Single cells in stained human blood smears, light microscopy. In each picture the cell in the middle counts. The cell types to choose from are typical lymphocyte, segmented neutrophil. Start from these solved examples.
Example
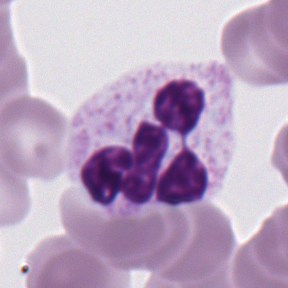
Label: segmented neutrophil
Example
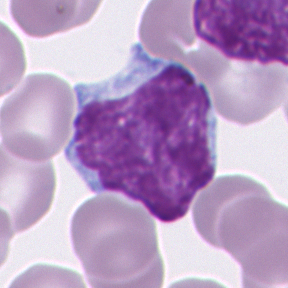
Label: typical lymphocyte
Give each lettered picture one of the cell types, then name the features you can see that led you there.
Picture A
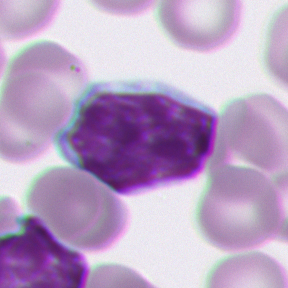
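typical lymphocyte. Reason: The nucleus fills almost the whole cell.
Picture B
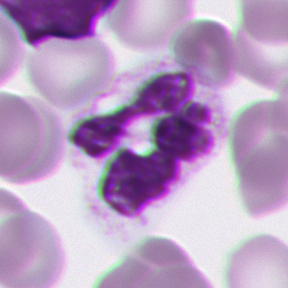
segmented neutrophil. Reason: The chromatin is dense and dark purple throughout the lobes.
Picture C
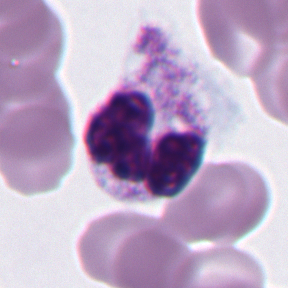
segmented neutrophil. Reason: The cytoplasm between the granules is pale and nearly colourless.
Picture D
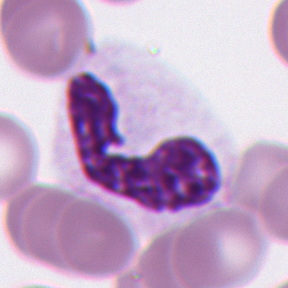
segmented neutrophil. Reason: The cytoplasm is plentiful and pale pinkish-lilac.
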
